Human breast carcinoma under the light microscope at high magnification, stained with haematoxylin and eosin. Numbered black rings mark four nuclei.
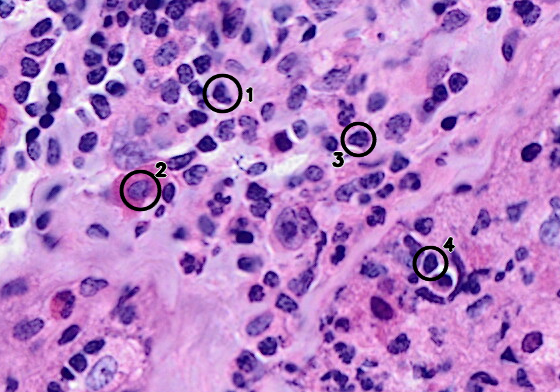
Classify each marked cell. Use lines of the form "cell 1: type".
cell 1: lymphocyte
cell 2: mast cell
cell 3: lymphocyte
cell 4: lymphocyte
